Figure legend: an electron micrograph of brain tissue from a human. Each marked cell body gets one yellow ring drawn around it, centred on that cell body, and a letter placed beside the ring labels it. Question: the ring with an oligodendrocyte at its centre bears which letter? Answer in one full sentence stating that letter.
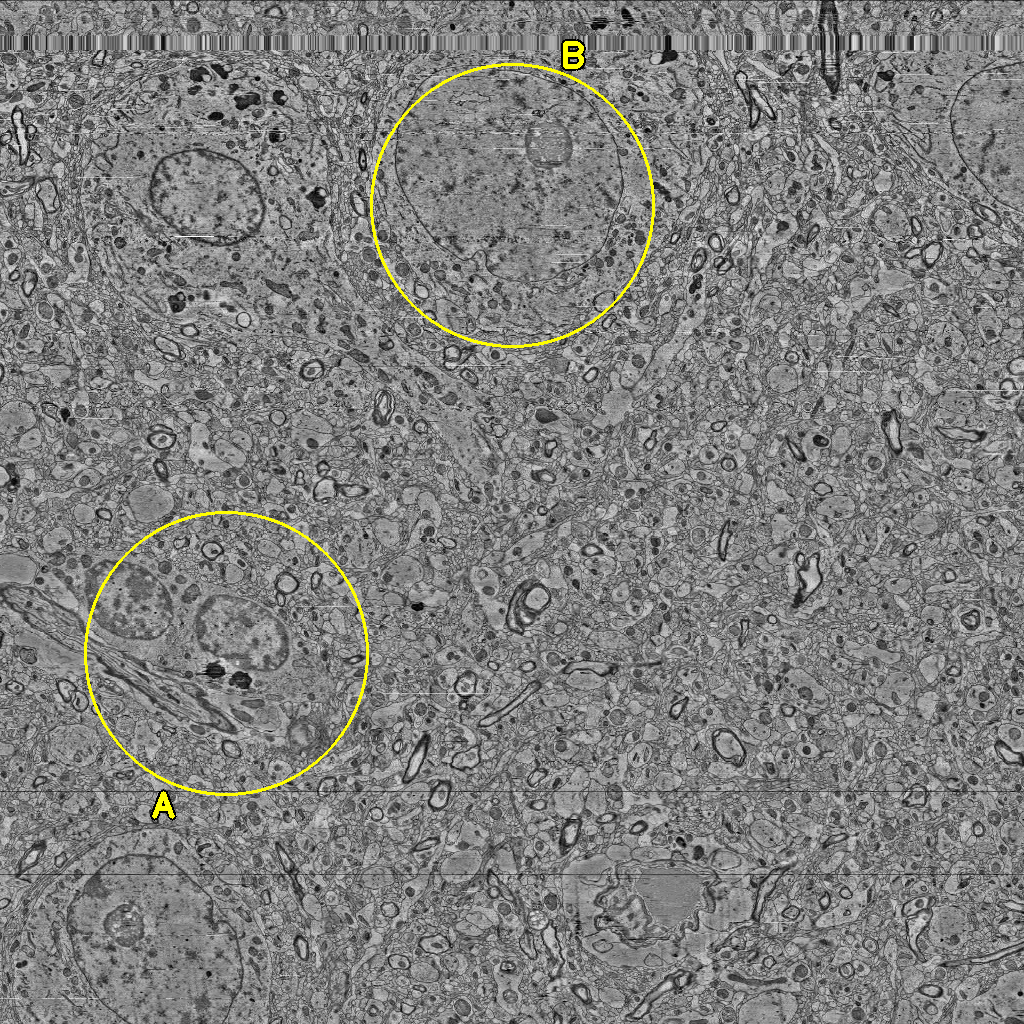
Labelled A is the ring whose centre holds the cell asked for in this picture.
